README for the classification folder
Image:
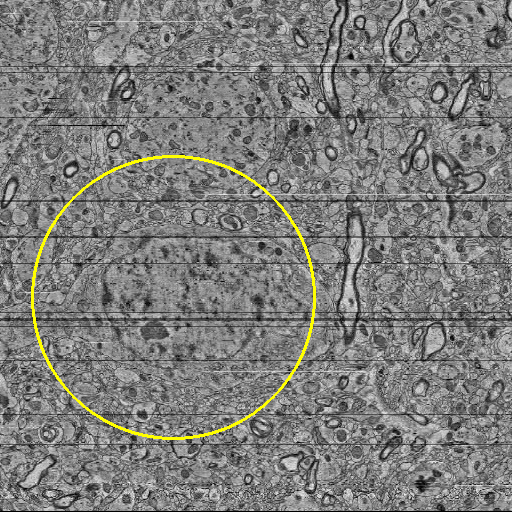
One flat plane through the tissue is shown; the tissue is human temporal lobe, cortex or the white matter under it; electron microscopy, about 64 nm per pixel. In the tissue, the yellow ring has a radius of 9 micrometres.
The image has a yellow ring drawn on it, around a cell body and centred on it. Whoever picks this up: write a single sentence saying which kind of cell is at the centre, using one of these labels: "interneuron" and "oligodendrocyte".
This cell body is that of an interneuron.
